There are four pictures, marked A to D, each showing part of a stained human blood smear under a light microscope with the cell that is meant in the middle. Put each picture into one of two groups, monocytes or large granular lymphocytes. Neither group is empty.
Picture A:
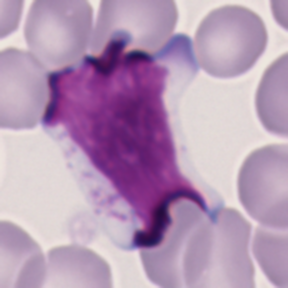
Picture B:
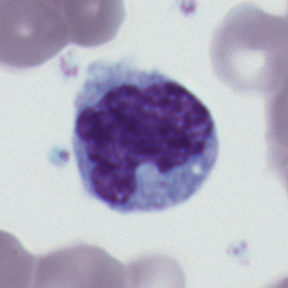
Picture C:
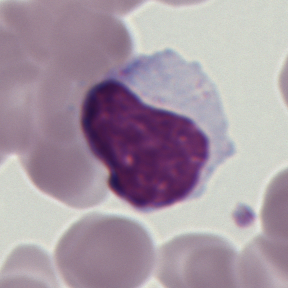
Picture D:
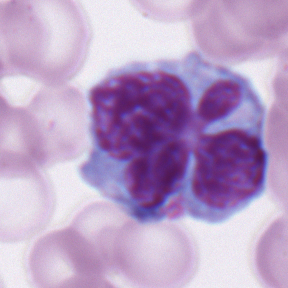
A: large granular lymphocyte
B: monocyte
C: large granular lymphocyte
D: monocyte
